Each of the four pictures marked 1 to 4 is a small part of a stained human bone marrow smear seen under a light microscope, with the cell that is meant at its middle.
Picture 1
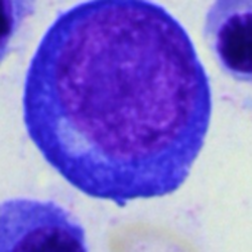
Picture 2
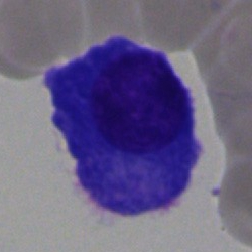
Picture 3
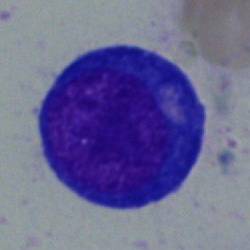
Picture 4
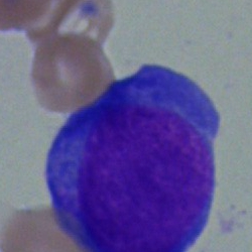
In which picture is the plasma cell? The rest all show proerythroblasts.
2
